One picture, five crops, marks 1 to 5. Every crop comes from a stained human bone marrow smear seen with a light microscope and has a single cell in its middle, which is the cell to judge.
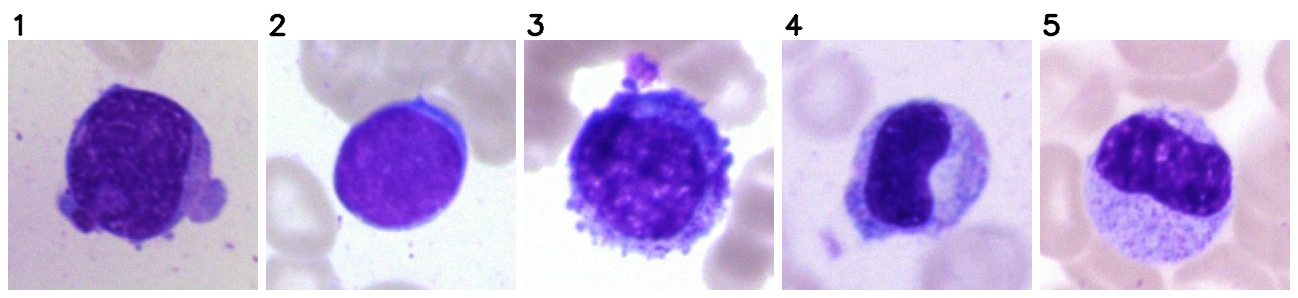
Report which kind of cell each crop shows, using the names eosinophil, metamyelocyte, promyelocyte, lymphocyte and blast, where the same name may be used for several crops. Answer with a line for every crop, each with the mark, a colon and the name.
1: blast
2: blast
3: promyelocyte
4: metamyelocyte
5: metamyelocyte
